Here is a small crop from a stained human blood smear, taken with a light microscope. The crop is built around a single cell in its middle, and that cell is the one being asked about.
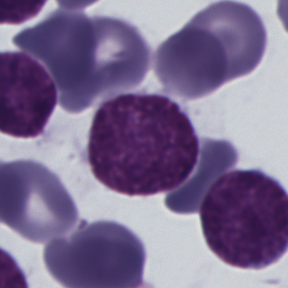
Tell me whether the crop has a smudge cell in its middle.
no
